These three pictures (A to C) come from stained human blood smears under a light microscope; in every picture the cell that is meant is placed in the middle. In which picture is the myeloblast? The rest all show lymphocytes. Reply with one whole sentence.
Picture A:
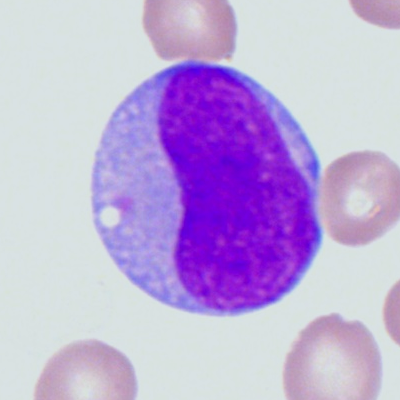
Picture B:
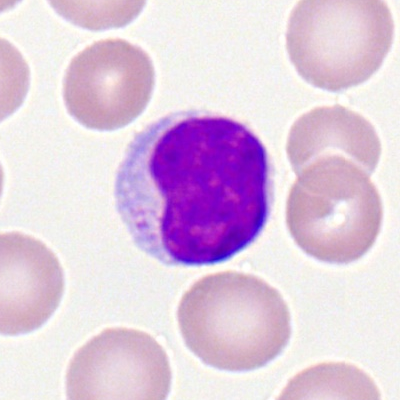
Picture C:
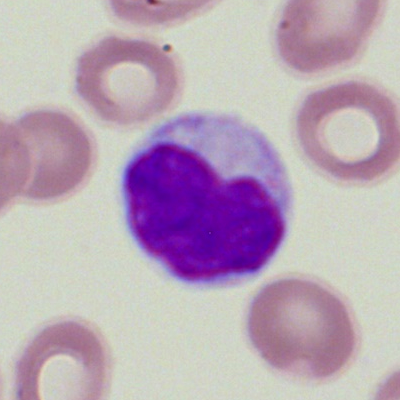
The cell in picture A is the myeloblast.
